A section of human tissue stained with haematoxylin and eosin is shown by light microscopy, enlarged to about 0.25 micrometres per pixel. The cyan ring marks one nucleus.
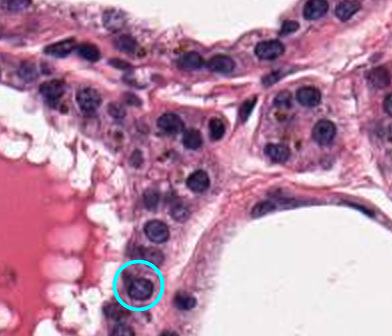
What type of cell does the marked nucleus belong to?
thyroid follicular cell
